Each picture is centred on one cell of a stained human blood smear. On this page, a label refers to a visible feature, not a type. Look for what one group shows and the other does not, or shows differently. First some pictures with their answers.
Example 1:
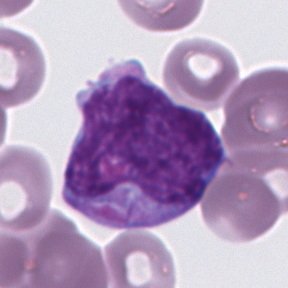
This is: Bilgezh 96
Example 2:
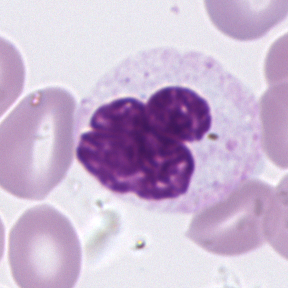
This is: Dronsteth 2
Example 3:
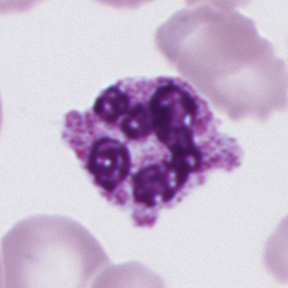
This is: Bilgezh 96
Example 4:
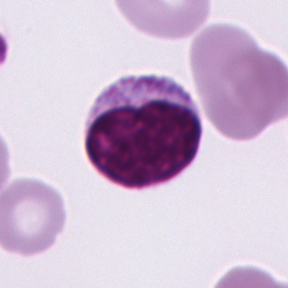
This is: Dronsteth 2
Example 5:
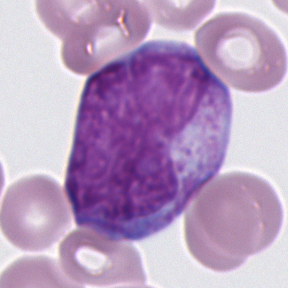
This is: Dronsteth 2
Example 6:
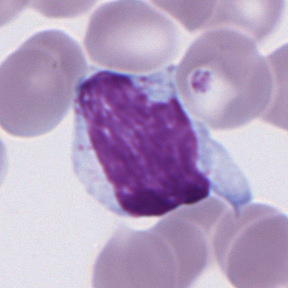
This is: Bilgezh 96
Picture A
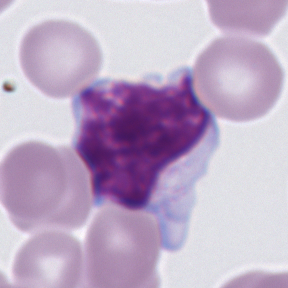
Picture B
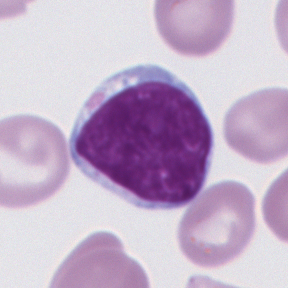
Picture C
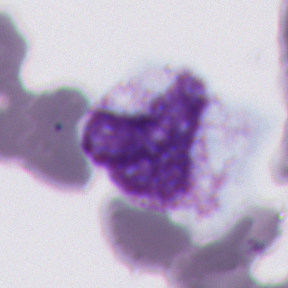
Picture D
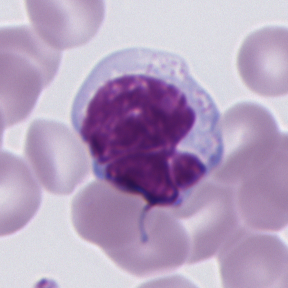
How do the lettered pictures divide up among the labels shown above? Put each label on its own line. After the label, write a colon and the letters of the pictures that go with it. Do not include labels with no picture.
Bilgezh 96: A, C, D
Dronsteth 2: B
